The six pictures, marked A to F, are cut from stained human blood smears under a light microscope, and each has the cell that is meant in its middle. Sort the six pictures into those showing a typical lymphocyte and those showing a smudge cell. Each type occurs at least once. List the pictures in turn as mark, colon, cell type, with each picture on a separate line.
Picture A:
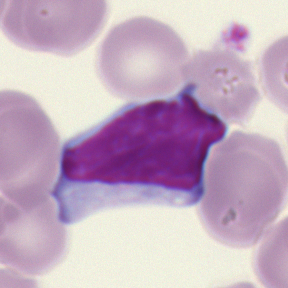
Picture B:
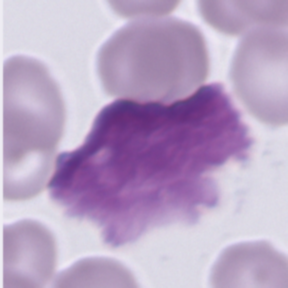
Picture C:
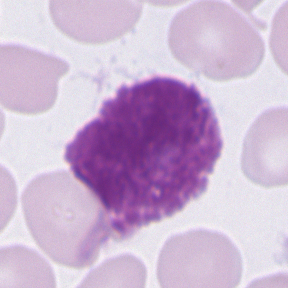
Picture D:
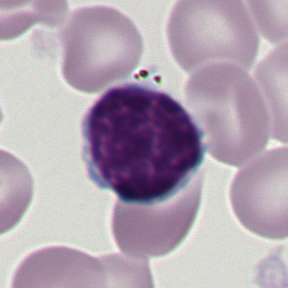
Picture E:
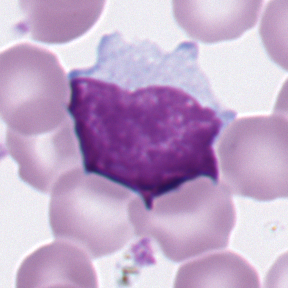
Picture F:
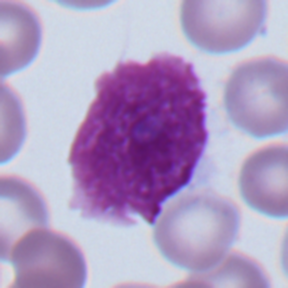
A: typical lymphocyte
B: smudge cell
C: smudge cell
D: typical lymphocyte
E: typical lymphocyte
F: smudge cell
